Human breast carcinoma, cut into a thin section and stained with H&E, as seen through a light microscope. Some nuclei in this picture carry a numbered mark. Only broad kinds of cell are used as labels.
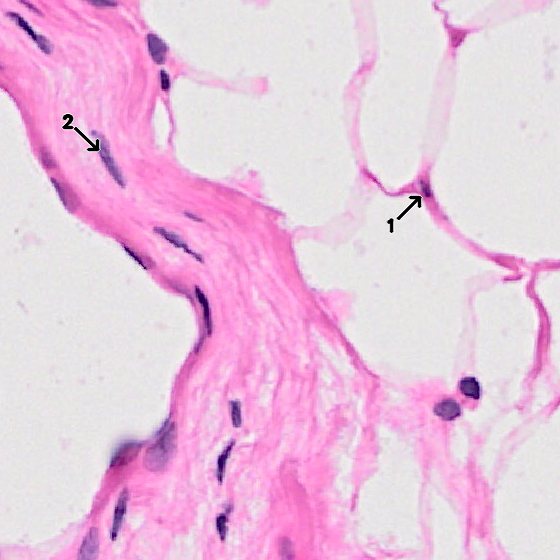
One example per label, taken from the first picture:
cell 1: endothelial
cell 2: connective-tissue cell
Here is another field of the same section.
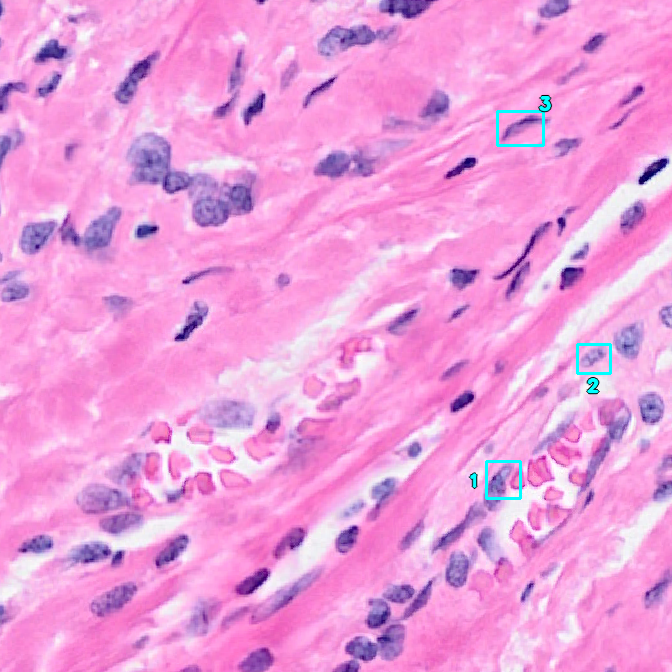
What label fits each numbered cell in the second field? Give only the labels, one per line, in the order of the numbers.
endothelial
endothelial
connective-tissue cell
